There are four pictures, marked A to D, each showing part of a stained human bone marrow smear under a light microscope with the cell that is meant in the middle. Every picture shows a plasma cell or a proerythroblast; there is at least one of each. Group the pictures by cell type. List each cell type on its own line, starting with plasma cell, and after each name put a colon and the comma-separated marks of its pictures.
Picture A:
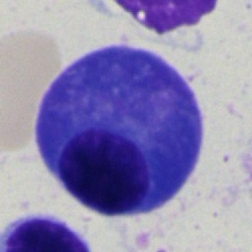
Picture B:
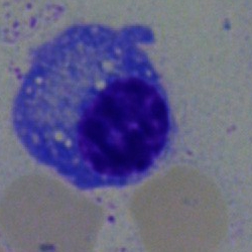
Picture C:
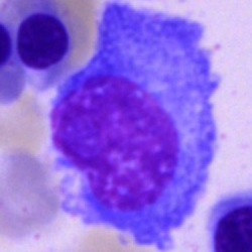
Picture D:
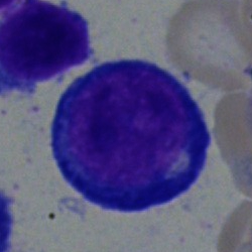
plasma cell: A, B, C
proerythroblast: D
